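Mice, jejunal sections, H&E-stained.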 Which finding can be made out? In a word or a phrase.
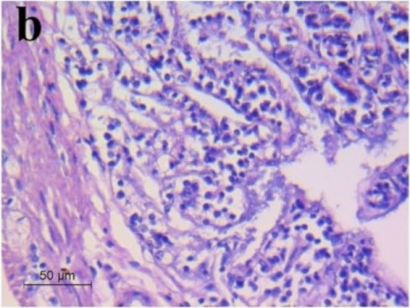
Dense inflammatory cellular infiltration.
